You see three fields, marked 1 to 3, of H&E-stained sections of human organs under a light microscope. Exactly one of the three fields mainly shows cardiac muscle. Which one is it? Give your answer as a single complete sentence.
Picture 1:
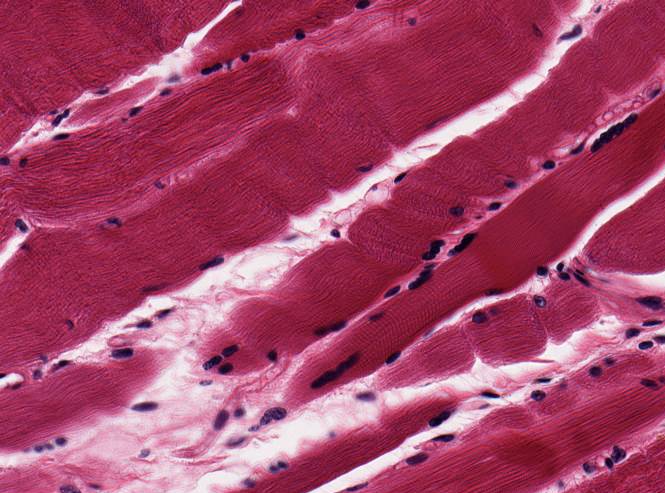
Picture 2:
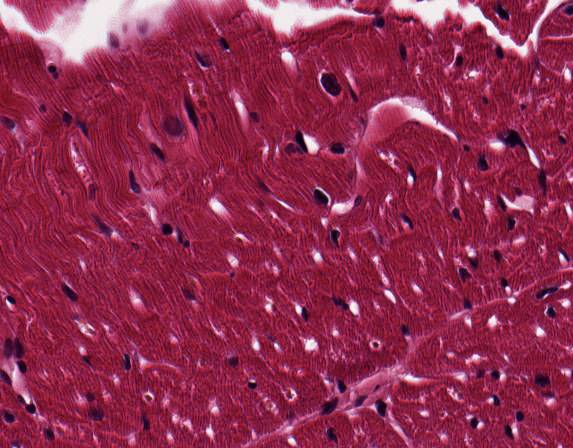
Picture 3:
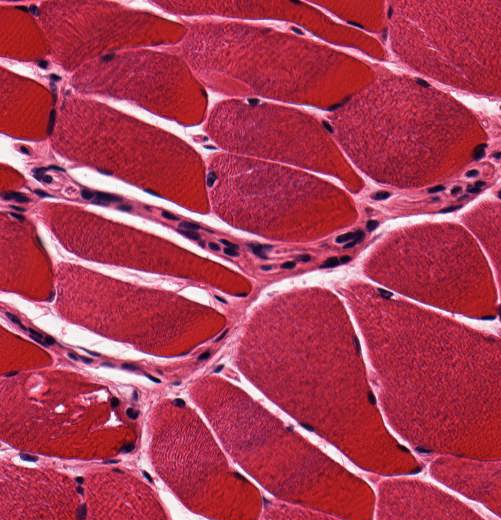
The one that mainly shows cardiac muscle is picture 2.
